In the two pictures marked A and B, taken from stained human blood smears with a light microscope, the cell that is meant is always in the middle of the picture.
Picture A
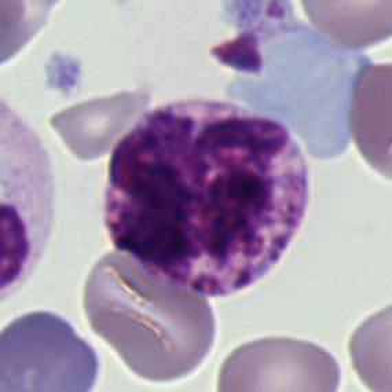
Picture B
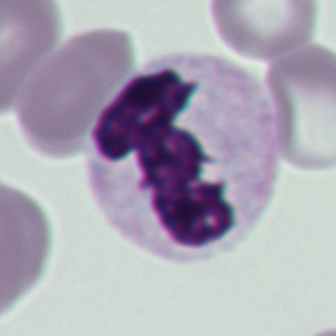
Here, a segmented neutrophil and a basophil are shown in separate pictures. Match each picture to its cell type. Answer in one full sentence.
It is picture A that shows a basophil, and picture B that shows a segmented neutrophil.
